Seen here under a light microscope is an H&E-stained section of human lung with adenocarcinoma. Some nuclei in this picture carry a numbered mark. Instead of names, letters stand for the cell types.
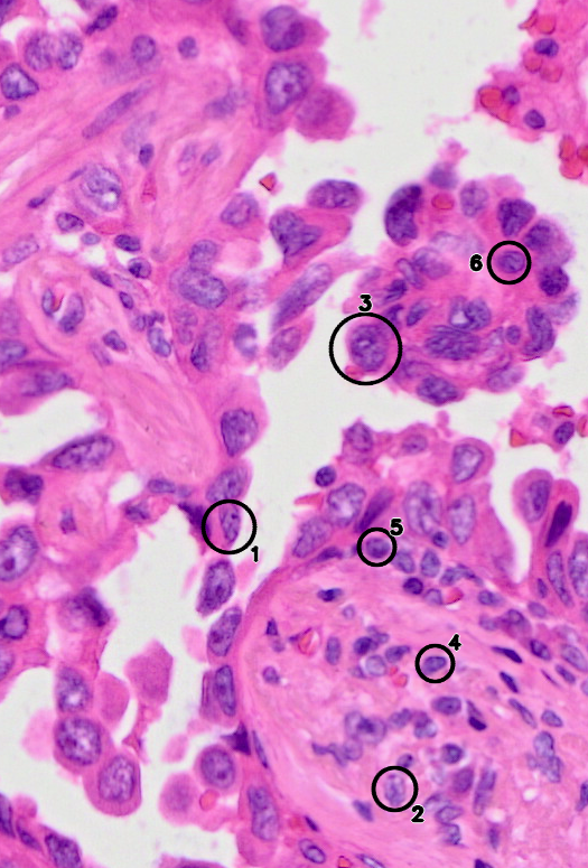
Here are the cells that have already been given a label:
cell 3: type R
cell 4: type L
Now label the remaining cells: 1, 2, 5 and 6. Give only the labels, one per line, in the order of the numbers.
type R
type L
type L
type R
